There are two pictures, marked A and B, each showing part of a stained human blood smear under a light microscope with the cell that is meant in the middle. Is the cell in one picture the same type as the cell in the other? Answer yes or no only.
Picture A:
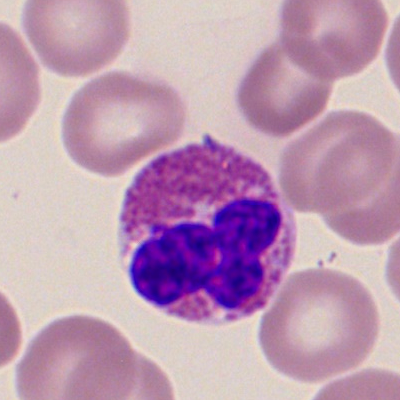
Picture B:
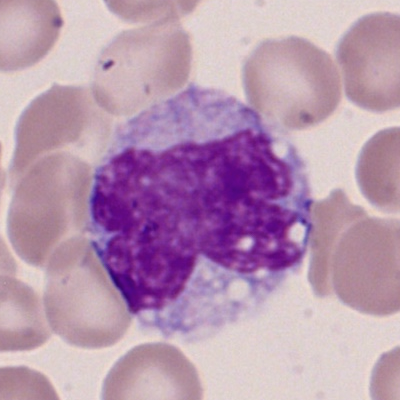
no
